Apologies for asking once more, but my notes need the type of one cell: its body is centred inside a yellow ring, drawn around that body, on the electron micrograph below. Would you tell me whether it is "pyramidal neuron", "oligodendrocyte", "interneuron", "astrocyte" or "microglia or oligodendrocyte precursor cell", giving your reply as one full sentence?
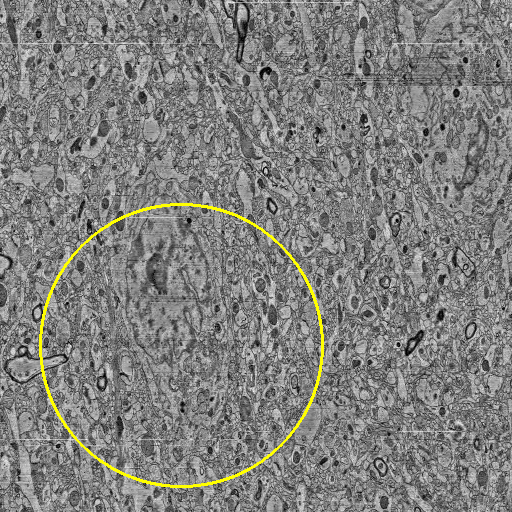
The cell that the yellow ring is centred on is an interneuron in this micrograph.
